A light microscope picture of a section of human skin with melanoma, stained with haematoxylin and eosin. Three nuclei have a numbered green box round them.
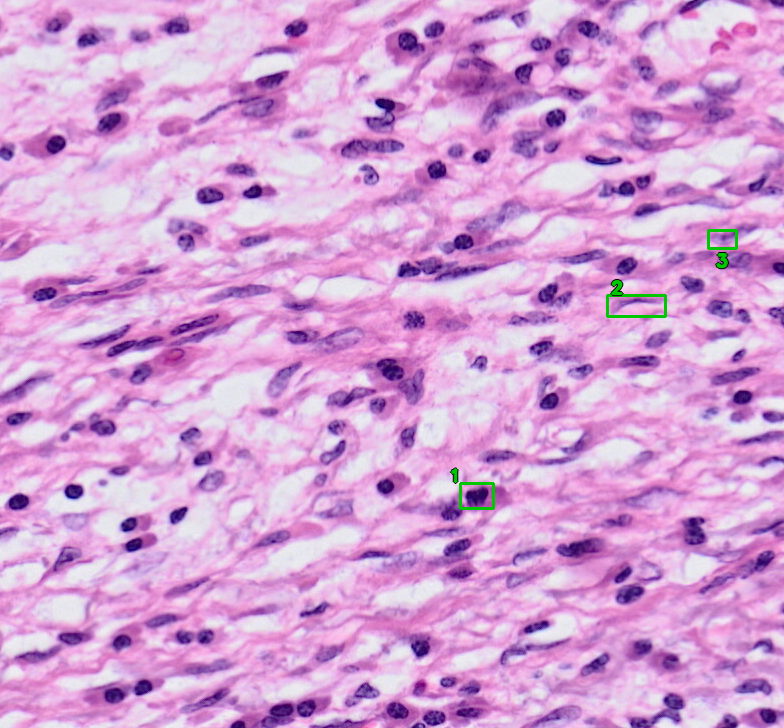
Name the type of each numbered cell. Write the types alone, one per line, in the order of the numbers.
plasma cell
fibroblast or myofibroblast
fibroblast or myofibroblast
